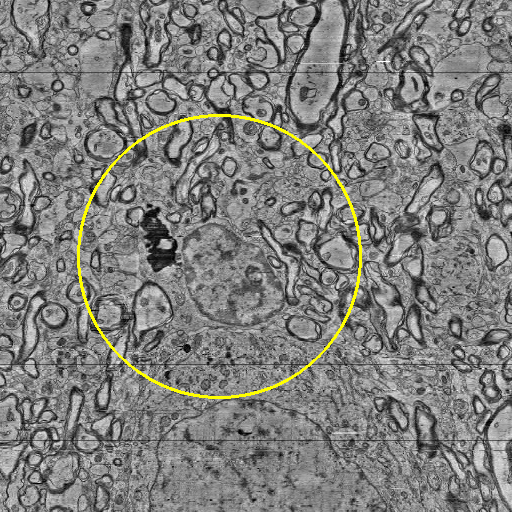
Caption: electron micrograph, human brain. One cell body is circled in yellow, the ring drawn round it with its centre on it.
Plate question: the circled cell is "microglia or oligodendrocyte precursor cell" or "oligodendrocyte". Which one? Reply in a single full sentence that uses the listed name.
The yellow ring on the plate is centred on an oligodendrocyte, going by the listed names.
